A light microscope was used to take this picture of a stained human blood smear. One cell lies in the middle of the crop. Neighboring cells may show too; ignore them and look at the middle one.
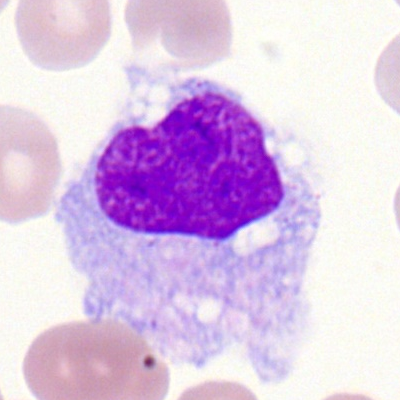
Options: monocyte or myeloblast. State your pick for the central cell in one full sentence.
In the middle of this smear crop, the cell is a monocyte.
